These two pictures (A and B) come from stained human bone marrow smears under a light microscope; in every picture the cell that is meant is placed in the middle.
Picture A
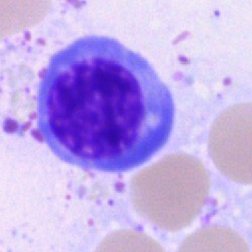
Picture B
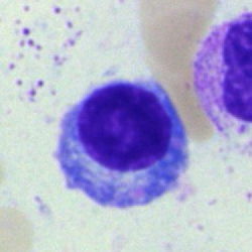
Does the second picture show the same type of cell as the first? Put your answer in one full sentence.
No, they differ: the cell is an erythroblast in picture A and a plasma cell in picture B.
